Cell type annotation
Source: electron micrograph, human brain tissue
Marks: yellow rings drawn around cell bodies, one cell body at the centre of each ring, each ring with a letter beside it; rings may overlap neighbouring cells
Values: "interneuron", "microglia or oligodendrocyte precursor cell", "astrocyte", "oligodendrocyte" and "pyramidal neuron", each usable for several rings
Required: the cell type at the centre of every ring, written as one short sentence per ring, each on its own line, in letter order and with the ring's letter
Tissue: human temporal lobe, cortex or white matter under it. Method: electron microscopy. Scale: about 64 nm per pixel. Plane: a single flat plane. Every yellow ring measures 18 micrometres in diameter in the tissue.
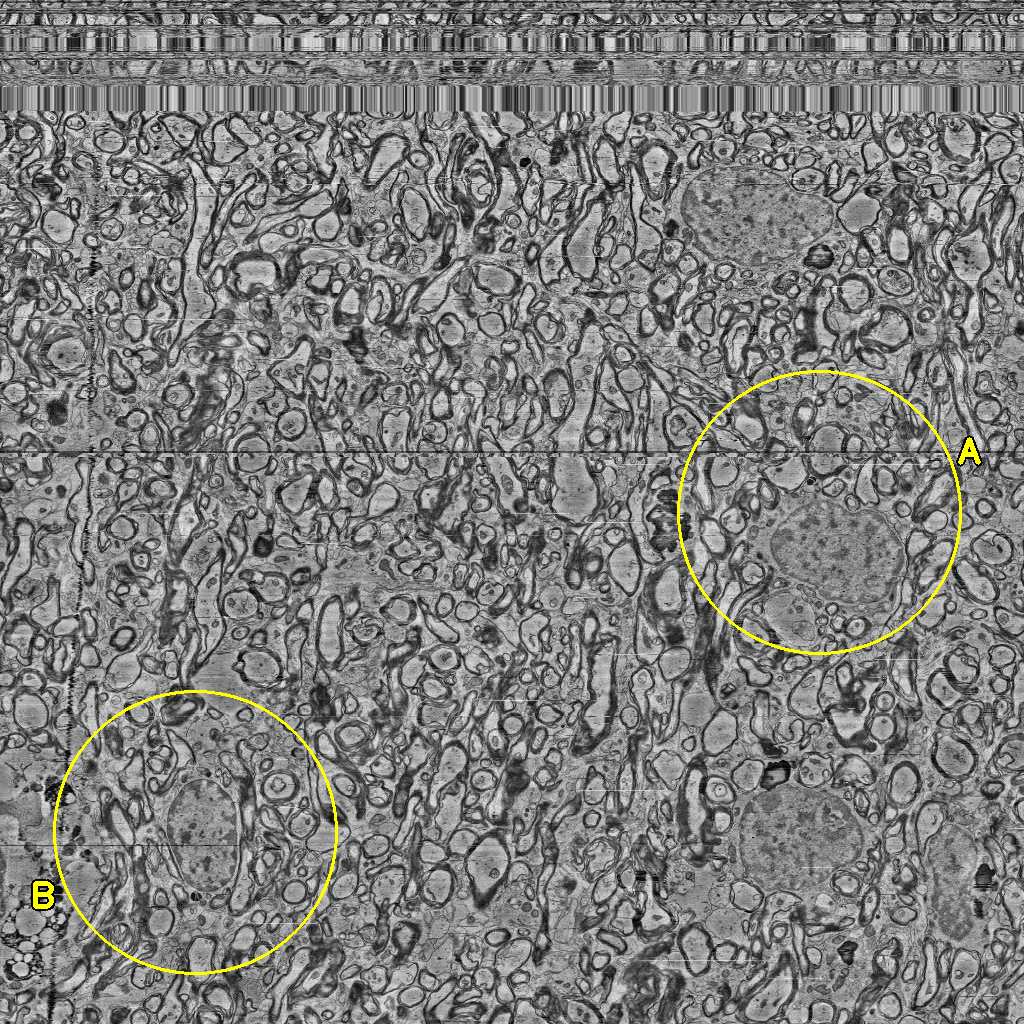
Ring A is annotated as an oligodendrocyte.
Ring B is annotated as a microglial cell or oligodendrocyte precursor cell.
